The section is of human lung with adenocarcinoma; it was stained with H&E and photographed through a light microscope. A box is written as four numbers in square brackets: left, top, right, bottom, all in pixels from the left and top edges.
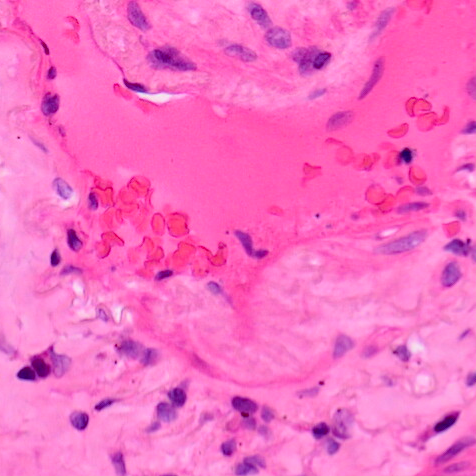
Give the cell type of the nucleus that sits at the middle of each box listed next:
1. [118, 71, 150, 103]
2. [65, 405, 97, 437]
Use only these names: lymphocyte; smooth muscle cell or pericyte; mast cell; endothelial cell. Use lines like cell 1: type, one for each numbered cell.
cell 1: endothelial cell
cell 2: mast cell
